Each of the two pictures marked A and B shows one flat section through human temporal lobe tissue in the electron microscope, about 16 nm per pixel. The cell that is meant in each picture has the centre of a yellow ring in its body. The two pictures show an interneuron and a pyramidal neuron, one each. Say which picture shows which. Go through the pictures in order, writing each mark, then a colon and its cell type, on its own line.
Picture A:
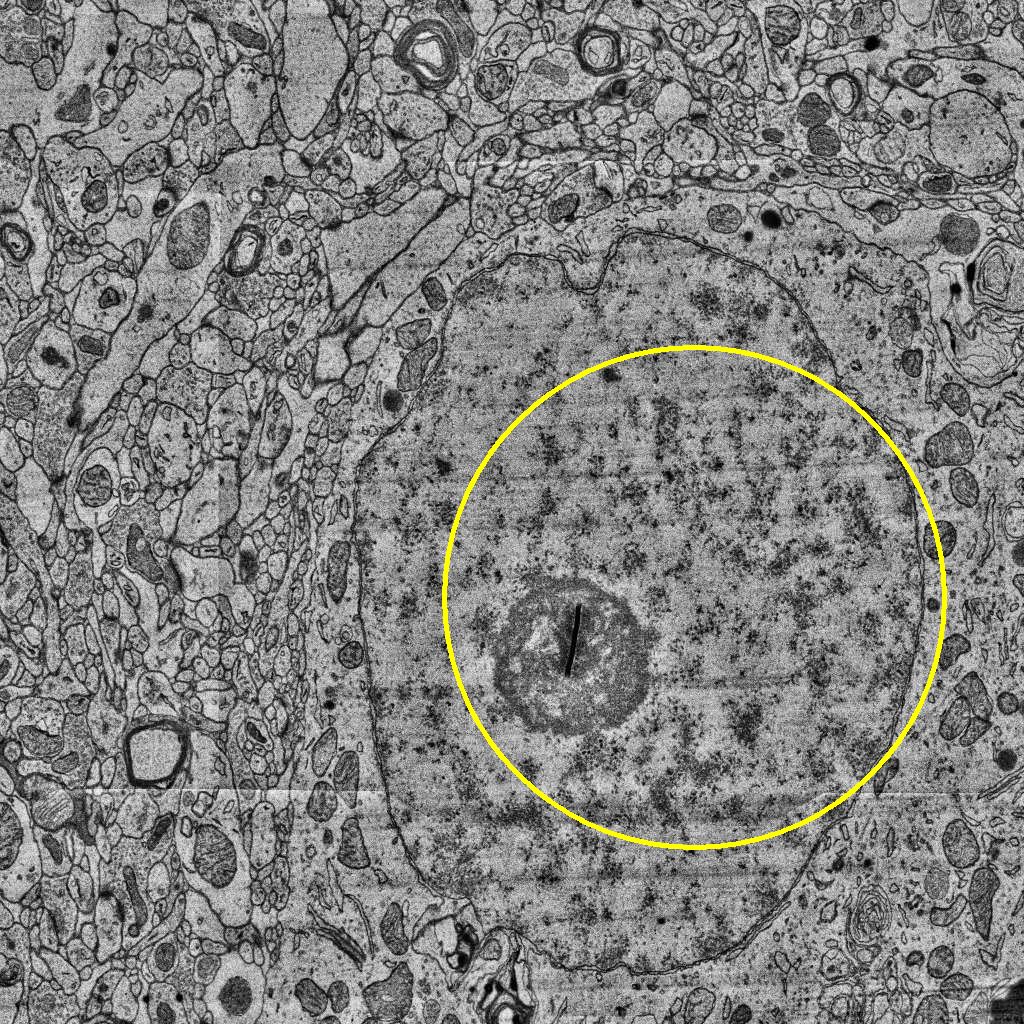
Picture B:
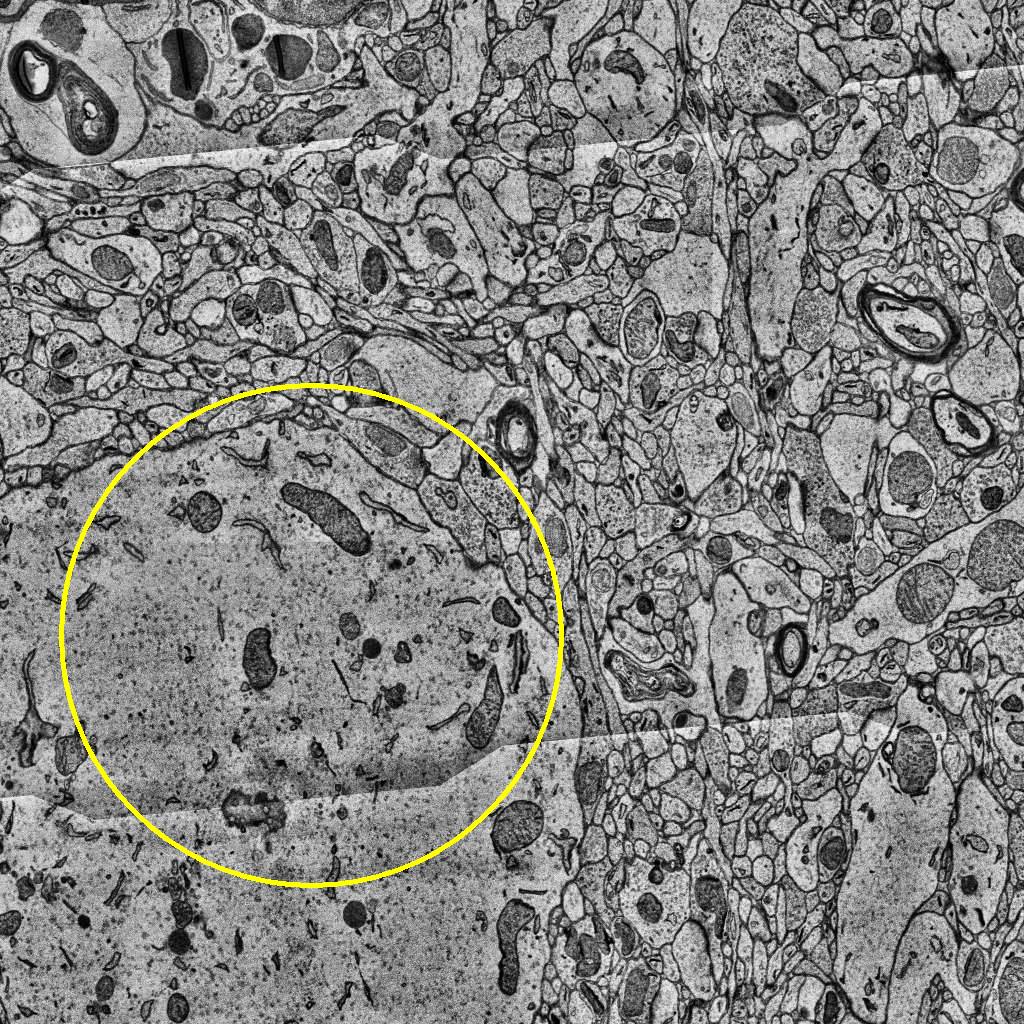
A: interneuron
B: pyramidal neuron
